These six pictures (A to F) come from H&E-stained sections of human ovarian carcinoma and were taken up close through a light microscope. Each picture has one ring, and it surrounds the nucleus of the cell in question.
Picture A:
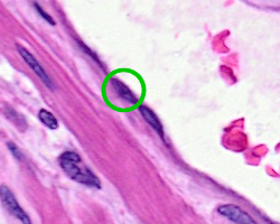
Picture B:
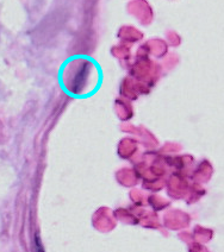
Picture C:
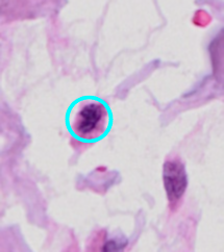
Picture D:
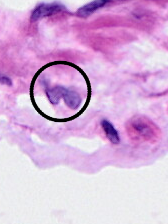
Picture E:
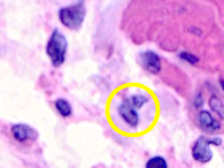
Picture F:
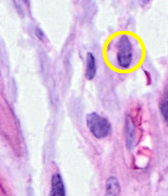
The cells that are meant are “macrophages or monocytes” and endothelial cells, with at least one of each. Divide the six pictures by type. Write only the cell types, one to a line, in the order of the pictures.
endothelial cell
endothelial cell
macrophage or monocyte
macrophage or monocyte
macrophage or monocyte
macrophage or monocyte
